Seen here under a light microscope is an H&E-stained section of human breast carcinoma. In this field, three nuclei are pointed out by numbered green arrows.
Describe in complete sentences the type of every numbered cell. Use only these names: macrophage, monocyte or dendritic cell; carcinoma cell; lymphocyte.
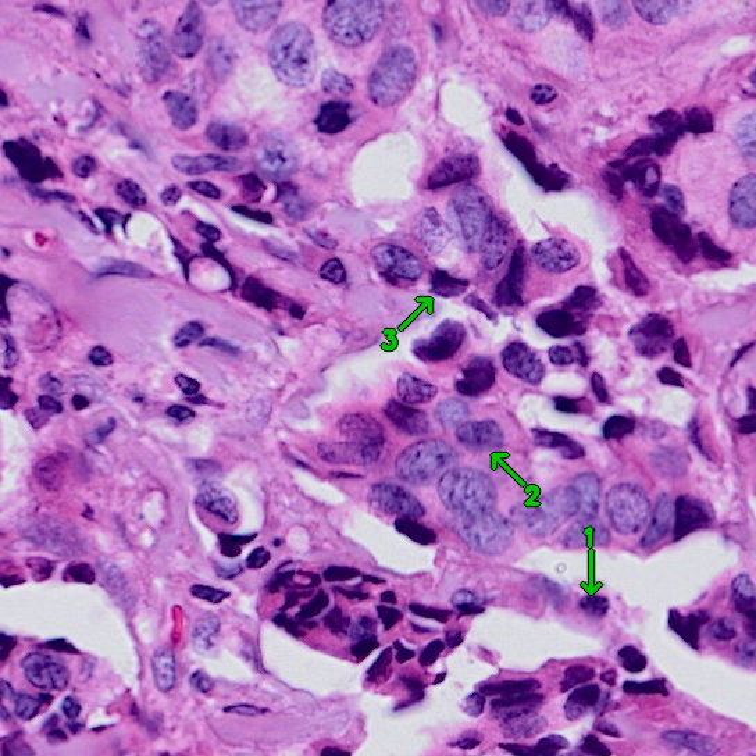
Cell 1 is a lymphocyte. Cells 2 and 3 are carcinoma cells.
